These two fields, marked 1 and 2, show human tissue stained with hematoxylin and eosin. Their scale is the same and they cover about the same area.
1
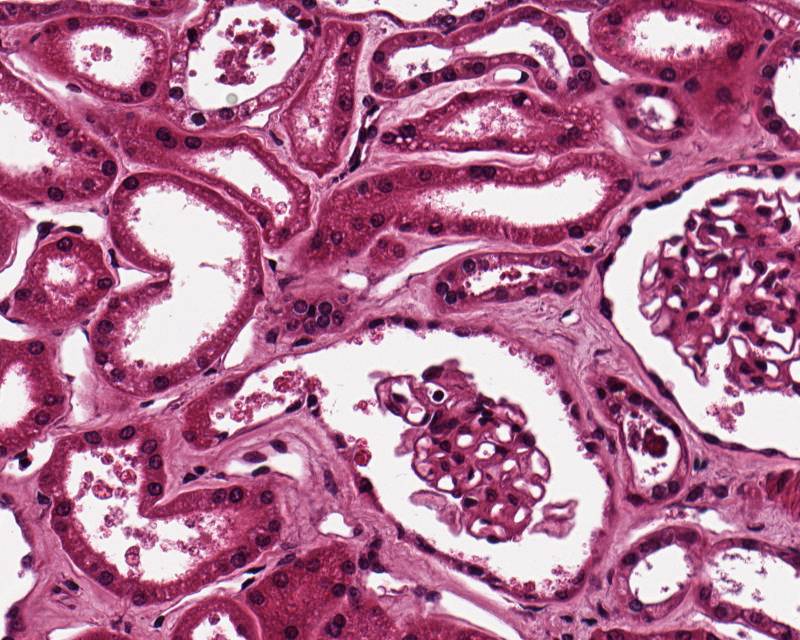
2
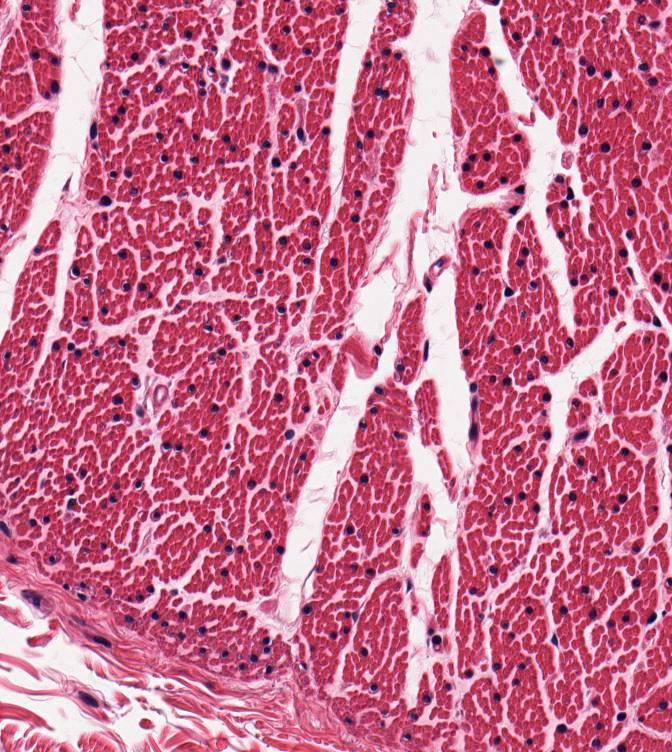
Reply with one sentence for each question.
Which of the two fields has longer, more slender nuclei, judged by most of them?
It is field 1 whose nuclei are the more elongated.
